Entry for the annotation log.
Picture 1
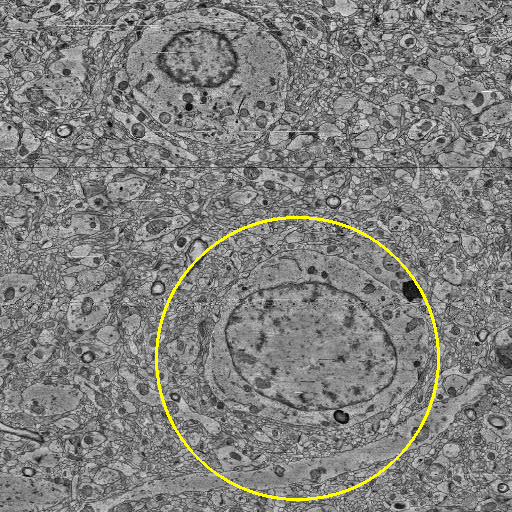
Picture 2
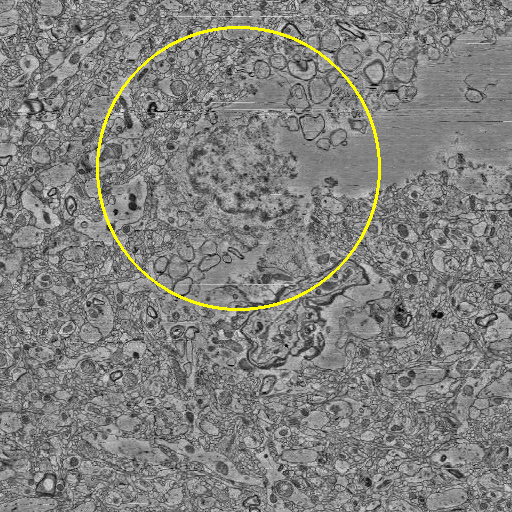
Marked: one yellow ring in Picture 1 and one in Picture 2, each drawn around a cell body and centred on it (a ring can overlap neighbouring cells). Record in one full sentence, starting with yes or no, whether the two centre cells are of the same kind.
No, the two cells are of two kinds.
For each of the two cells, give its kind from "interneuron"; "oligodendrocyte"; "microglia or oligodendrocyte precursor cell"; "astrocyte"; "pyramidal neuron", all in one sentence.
The first picture has a pyramidal neuron in its ring, the second has an interneuron.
